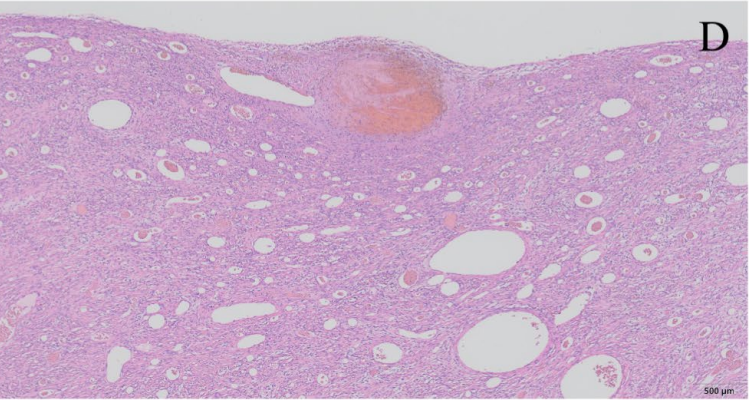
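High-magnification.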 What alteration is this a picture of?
hemorrhage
